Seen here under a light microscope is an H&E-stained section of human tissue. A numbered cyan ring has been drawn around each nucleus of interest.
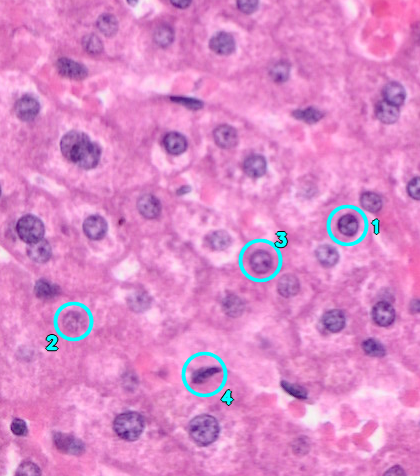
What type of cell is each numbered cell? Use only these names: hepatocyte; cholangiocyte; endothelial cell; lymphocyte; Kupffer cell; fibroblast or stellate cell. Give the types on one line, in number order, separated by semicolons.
hepatocyte; hepatocyte; hepatocyte; fibroblast or stellate cell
